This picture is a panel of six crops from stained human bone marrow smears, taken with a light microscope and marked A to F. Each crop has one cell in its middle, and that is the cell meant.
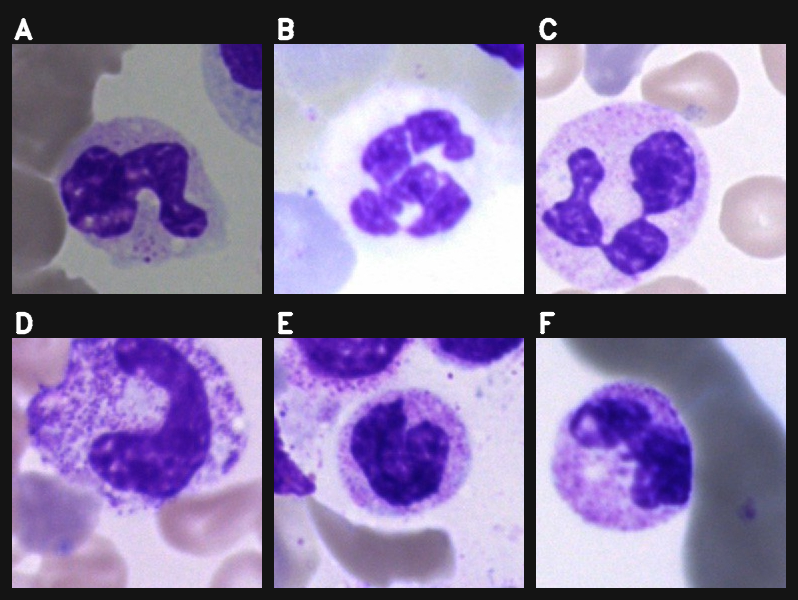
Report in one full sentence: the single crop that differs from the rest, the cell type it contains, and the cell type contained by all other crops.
A different cell type, a band neutrophil, occupies crop D; the other crops show segmented neutrophils.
